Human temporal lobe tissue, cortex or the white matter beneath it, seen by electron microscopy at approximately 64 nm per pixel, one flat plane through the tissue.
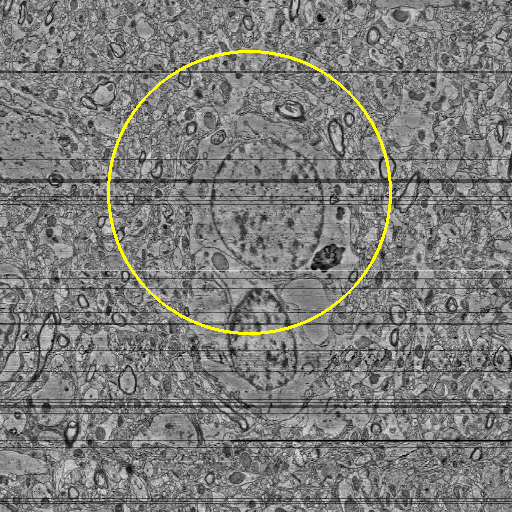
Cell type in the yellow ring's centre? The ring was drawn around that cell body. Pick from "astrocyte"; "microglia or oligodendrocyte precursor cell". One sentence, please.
The ringed cell body is that of an astrocyte.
